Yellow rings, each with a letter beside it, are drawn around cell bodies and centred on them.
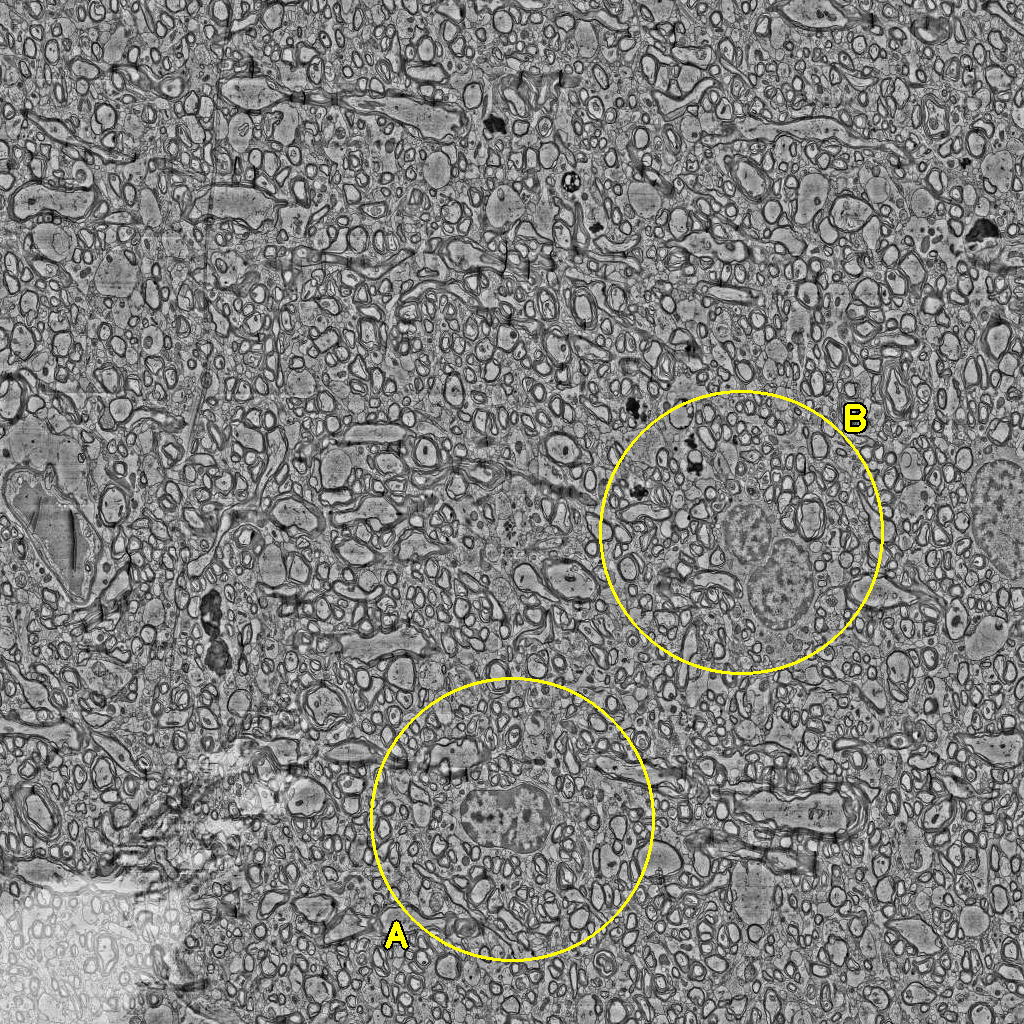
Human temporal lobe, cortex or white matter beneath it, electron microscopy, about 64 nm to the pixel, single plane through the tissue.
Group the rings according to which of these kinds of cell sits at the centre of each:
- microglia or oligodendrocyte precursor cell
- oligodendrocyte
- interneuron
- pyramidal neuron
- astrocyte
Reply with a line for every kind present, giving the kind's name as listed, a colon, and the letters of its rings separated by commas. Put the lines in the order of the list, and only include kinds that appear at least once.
microglia or oligodendrocyte precursor cell: A
oligodendrocyte: B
